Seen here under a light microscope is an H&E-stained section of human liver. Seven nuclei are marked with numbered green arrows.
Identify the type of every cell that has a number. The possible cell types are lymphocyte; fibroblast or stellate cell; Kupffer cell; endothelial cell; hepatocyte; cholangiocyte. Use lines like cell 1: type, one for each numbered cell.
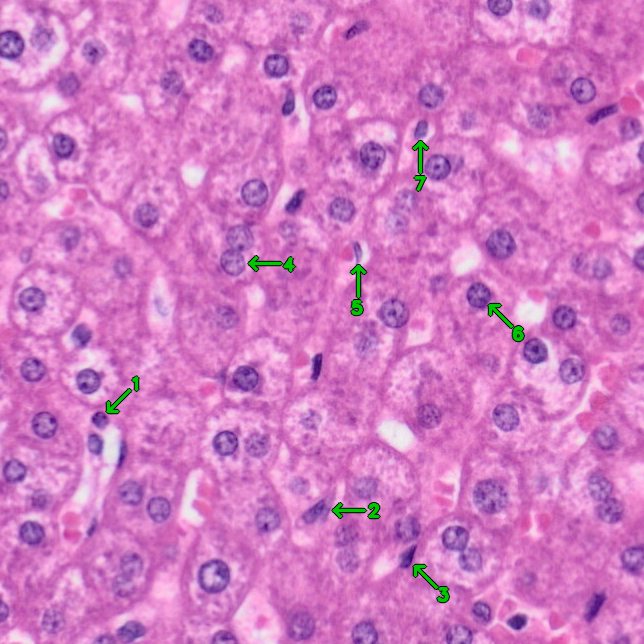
cell 1: lymphocyte
cell 2: Kupffer cell
cell 3: fibroblast or stellate cell
cell 4: hepatocyte
cell 5: endothelial cell
cell 6: hepatocyte
cell 7: lymphocyte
